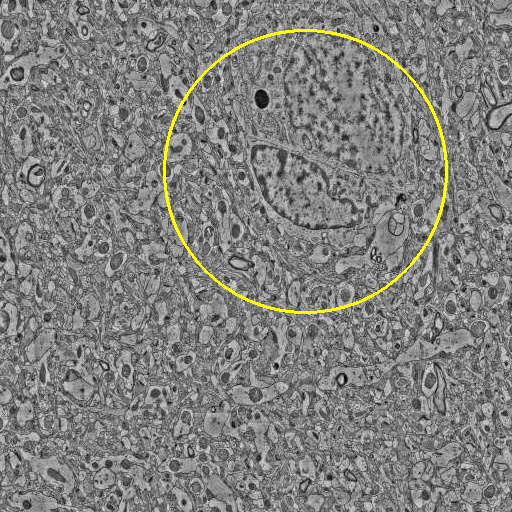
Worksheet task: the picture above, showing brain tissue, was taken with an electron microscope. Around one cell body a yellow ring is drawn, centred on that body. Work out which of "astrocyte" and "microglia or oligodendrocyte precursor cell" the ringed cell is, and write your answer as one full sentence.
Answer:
It is a microglial cell or oligodendrocyte precursor cell whose cell body lies at the centre of the yellow ring.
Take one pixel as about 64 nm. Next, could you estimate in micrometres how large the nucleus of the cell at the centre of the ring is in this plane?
In this plane the nucleus measures roughly 8 by 4 micrometers.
